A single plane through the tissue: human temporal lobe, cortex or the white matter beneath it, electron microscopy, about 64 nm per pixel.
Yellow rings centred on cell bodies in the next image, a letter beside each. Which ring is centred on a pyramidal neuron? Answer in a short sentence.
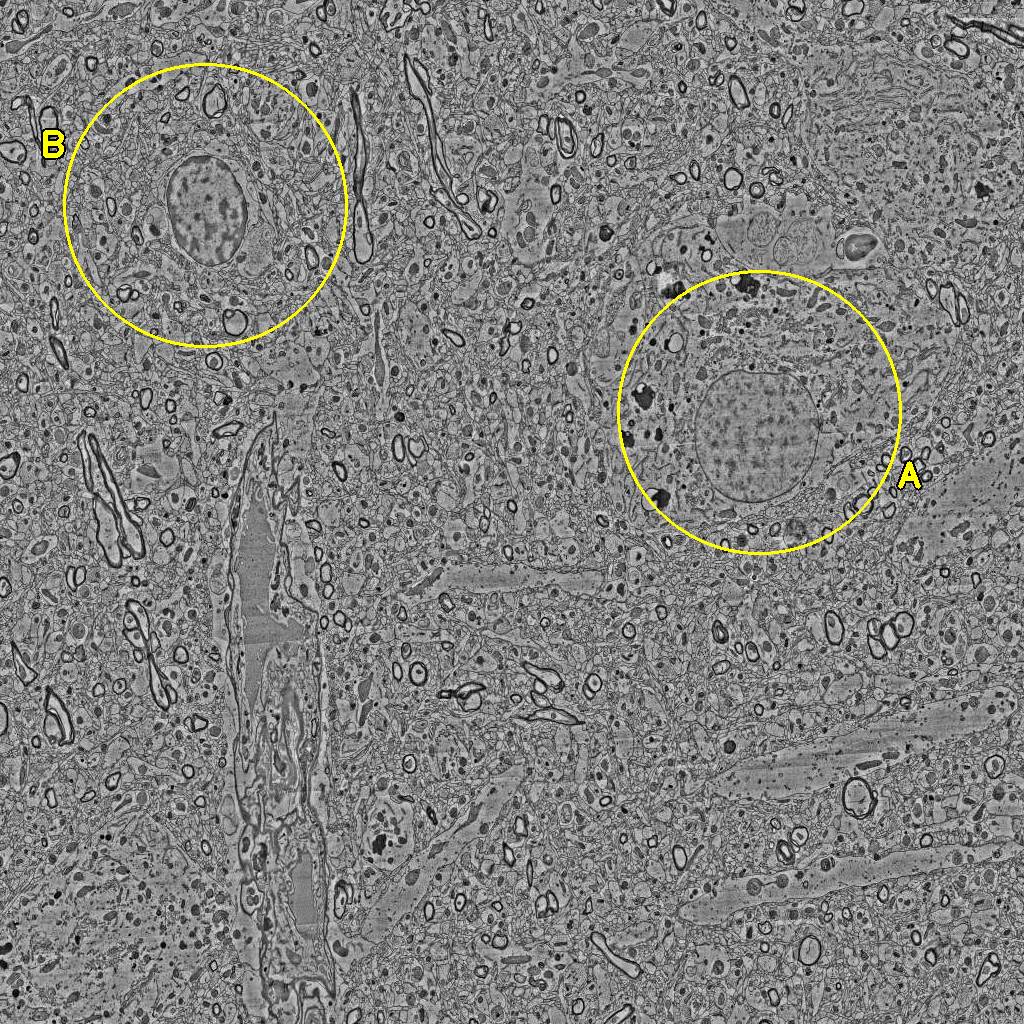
Ring A is centred on it.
